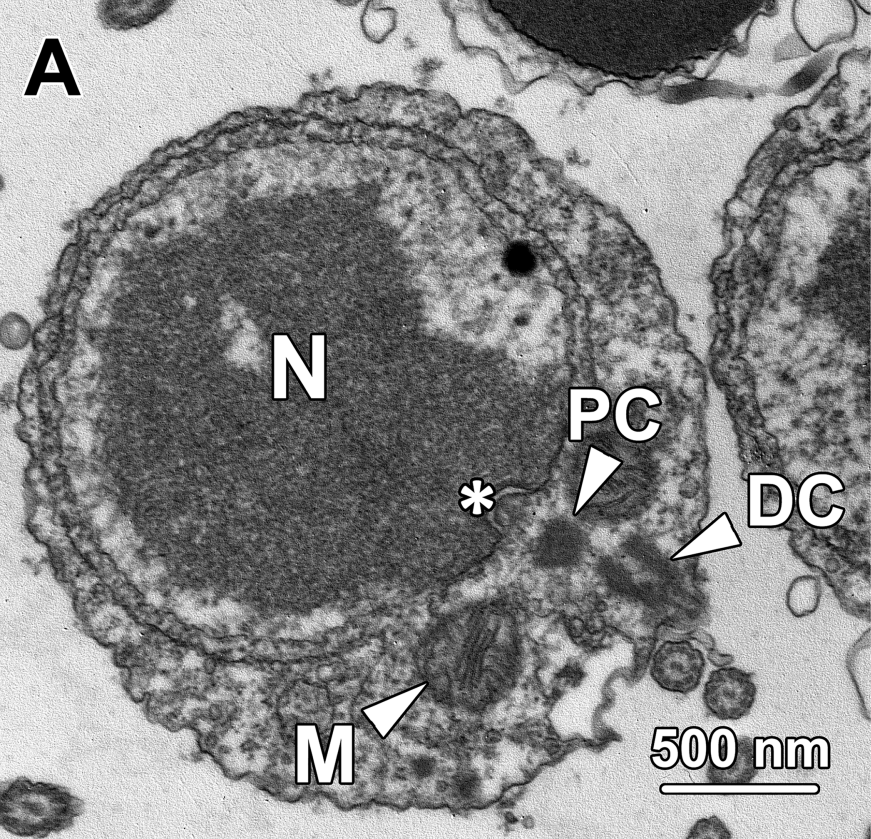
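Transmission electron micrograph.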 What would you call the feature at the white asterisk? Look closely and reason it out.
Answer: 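Implantation fossa. The asterisk sits at a small indentation of the nuclear outline. A dense centriole lies just outside this indentation. The indentation is at the pole of the nucleus facing the centrioles and mitochondria.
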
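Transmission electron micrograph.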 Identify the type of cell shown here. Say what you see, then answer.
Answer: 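A round cell with a large nucleus of condensing, coarsely clumped chromatin. Two centrioles lie at one pole of the nucleus. Cross-sections of flagella with axonemes lie nearby. On this evidence: spermatids.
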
